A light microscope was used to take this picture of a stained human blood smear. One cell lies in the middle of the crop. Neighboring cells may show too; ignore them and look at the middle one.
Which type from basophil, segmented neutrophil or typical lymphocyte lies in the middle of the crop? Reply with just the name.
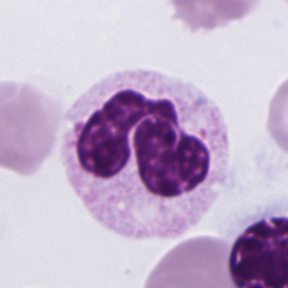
segmented neutrophil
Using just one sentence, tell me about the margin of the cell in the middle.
The border of this cell runs smooth and free of any projections.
